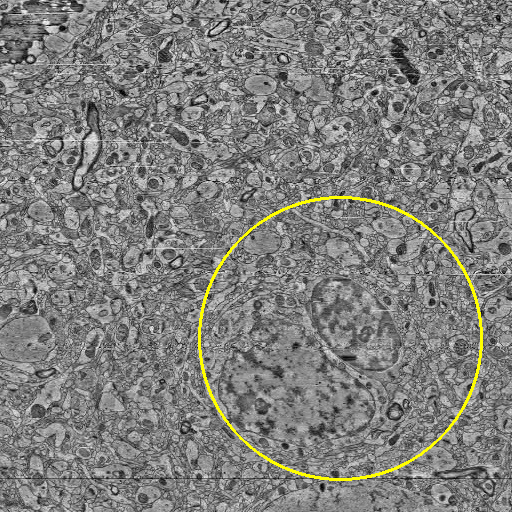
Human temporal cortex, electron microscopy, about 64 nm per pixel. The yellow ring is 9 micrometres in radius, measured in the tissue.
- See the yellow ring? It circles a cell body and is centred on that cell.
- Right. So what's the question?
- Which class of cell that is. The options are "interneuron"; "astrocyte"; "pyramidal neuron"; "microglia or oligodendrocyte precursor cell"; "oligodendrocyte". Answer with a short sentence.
The centre of the ring holds an oligodendrocyte.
